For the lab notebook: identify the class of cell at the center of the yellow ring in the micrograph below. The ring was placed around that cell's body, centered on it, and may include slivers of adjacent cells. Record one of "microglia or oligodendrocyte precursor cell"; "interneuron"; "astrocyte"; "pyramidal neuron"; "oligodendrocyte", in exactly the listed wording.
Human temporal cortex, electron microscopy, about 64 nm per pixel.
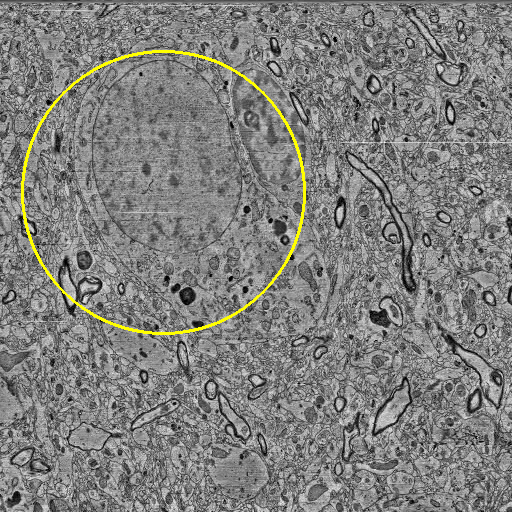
pyramidal neuron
